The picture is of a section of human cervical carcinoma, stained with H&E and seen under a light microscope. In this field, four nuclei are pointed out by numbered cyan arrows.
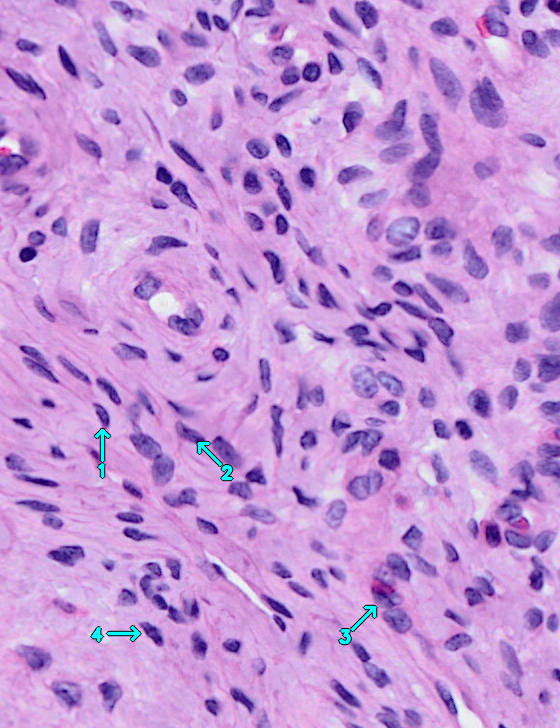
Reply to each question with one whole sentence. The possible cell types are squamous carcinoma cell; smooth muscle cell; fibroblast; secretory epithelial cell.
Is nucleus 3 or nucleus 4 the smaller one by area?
It is nucleus 4; nucleus 3 has about 2 times its area.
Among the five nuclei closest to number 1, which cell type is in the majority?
Fibroblasts make up most of the five nuclei closest to number 1.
